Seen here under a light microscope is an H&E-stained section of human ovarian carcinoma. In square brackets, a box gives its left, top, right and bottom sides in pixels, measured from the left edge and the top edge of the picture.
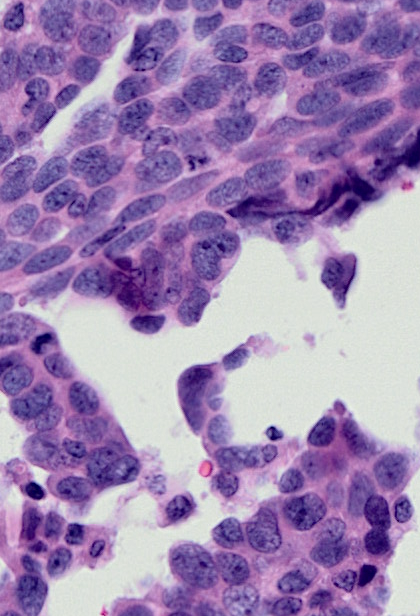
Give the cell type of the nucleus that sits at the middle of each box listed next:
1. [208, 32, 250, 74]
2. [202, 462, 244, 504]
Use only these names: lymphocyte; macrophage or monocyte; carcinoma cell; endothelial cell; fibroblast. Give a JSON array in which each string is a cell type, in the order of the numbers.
["carcinoma cell", "macrophage or monocyte"]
